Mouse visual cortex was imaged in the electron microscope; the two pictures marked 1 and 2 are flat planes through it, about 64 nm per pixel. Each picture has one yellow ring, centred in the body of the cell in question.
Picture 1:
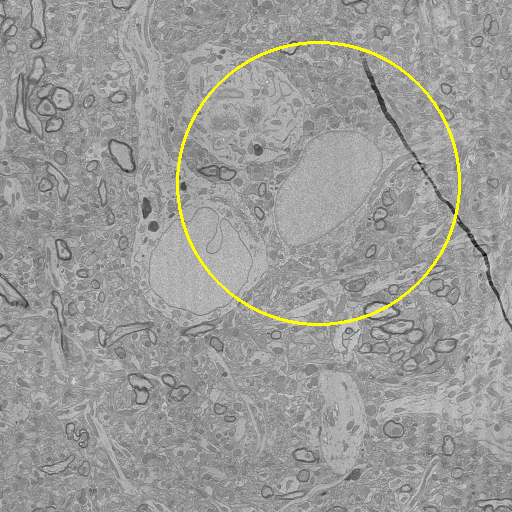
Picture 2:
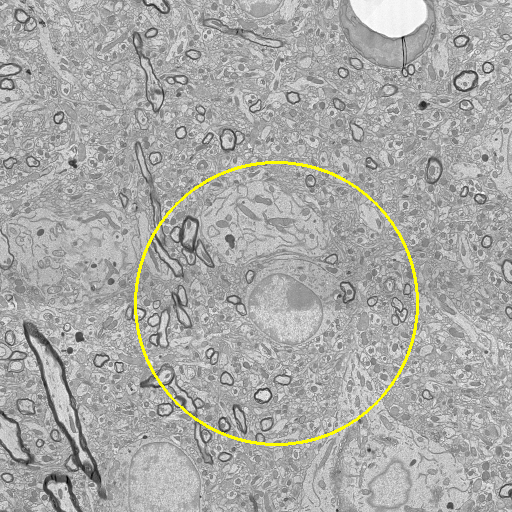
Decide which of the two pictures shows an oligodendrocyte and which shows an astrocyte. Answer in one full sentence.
Picture 1 shows an astrocyte and picture 2 shows an oligodendrocyte.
